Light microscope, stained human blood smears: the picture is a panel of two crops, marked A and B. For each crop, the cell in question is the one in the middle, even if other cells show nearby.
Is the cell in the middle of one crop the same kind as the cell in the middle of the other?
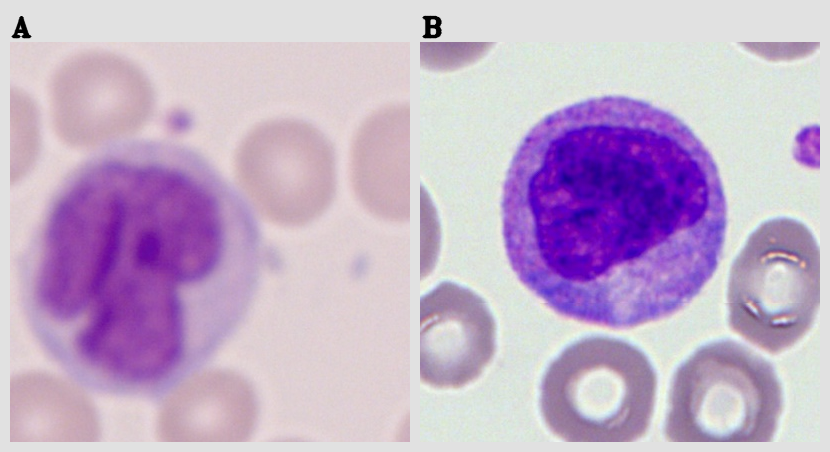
yes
